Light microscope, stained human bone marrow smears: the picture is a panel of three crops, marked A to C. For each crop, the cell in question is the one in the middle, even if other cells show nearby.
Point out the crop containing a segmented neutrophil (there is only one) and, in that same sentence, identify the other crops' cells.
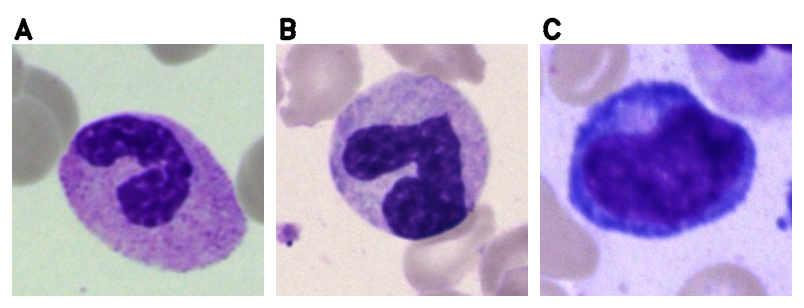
The cell occupying crop A is a segmented neutrophil, whereas crop B is a band neutrophil and crop C is a proerythroblast.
